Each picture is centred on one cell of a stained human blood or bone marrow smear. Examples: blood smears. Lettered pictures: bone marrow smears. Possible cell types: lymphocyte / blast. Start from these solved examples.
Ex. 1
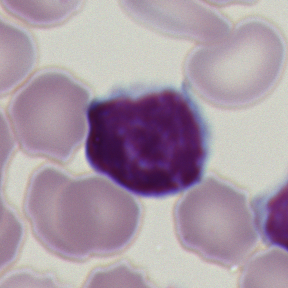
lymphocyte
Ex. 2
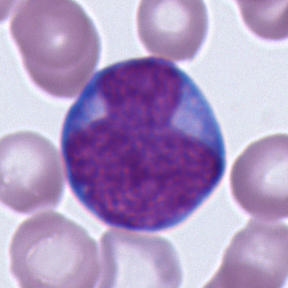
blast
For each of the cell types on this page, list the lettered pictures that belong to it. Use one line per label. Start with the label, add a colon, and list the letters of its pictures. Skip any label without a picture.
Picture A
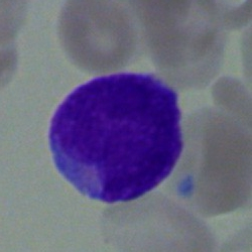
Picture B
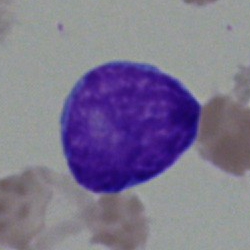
blast: A, B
